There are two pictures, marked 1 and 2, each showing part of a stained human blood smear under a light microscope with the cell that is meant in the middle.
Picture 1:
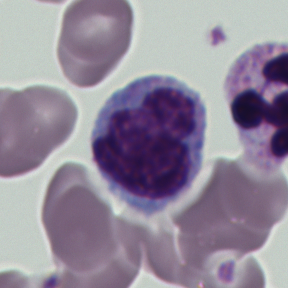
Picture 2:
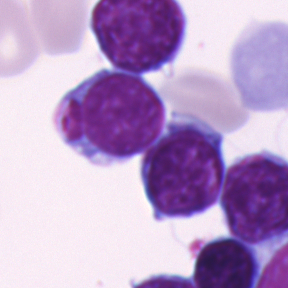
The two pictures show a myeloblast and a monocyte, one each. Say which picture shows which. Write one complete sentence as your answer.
In picture 1 the cell is a monocyte; in picture 2, a myeloblast.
